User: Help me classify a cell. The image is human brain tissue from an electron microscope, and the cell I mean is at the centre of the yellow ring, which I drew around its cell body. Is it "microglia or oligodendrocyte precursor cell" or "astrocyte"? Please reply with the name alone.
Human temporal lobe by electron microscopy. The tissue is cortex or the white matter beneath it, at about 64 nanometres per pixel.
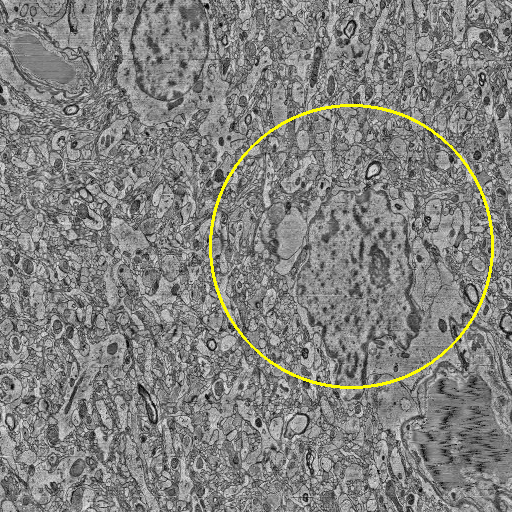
microglia or oligodendrocyte precursor cell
